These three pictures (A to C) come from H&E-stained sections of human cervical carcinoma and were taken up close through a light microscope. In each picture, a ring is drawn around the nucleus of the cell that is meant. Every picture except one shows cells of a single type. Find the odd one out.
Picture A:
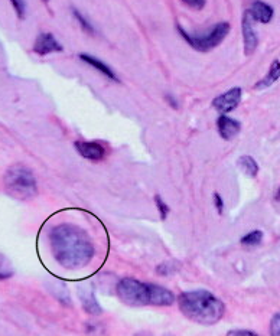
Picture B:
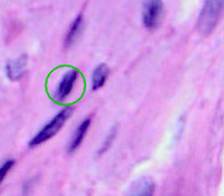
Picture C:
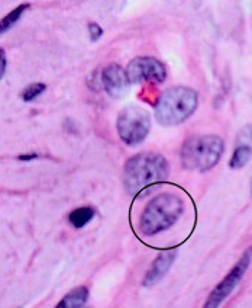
B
